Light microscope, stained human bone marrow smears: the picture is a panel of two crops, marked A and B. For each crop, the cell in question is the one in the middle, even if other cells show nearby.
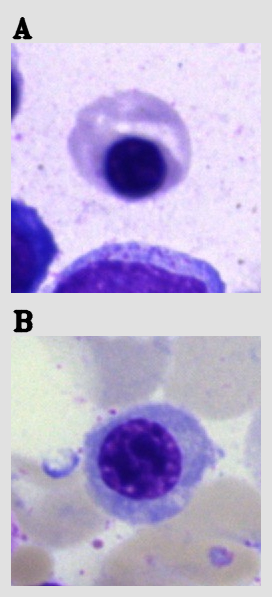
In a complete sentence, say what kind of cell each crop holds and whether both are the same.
Yes, the cells that both crops show at the centre are erythroblasts.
